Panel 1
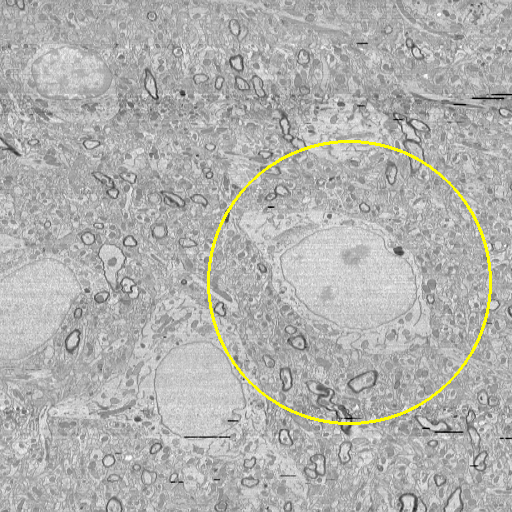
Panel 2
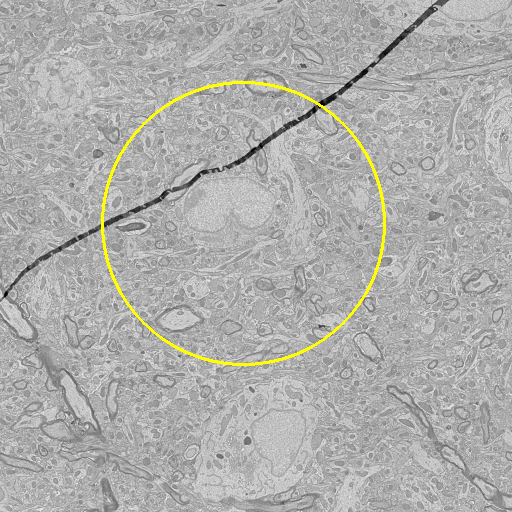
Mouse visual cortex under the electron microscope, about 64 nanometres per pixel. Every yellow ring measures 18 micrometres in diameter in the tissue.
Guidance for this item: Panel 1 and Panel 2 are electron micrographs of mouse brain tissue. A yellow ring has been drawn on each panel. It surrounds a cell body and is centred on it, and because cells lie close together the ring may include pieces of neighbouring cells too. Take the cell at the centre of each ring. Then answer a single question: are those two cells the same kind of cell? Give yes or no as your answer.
no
